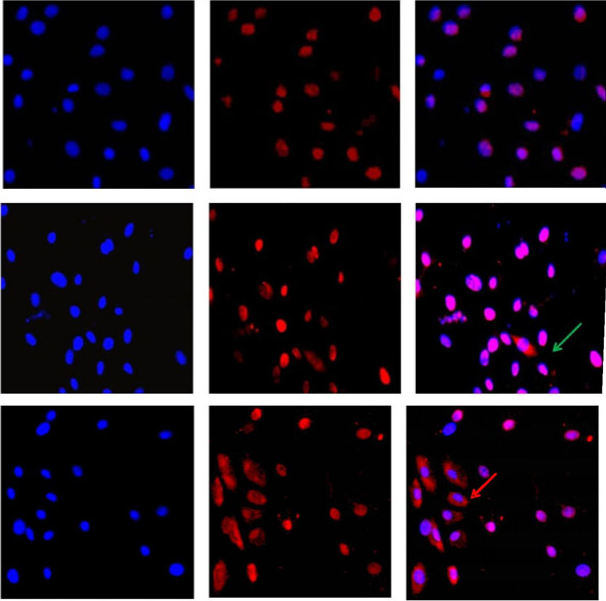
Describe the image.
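In the top row the red staining lies over the nuclei, so the merged cells look pink-purple. In the bottom row several cells show red staining spreading into the elongated cell body around the nucleus, in the cytoplasm.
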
